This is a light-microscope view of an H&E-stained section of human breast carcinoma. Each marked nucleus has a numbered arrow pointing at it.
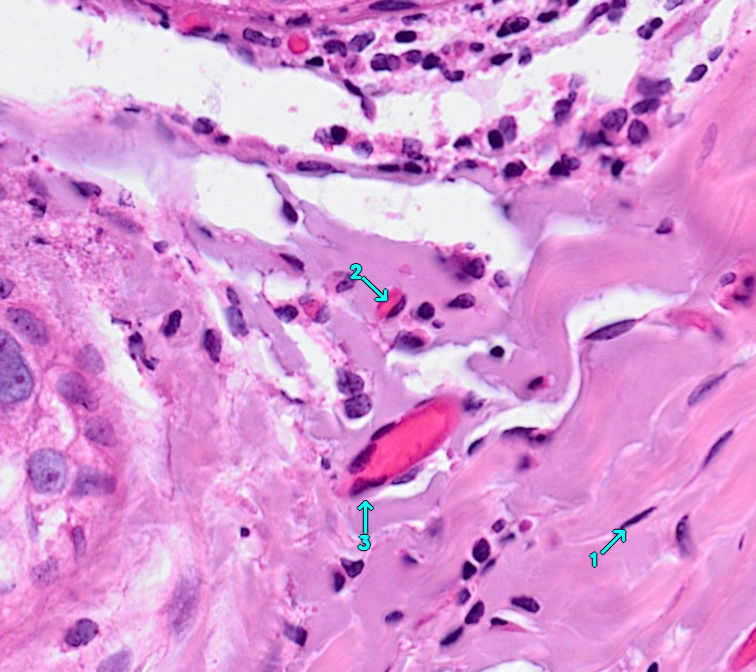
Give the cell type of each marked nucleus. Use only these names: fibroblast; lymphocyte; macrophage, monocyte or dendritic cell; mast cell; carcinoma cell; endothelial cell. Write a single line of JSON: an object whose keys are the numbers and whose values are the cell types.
{"1": "fibroblast", "2": "endothelial cell", "3": "endothelial cell"}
